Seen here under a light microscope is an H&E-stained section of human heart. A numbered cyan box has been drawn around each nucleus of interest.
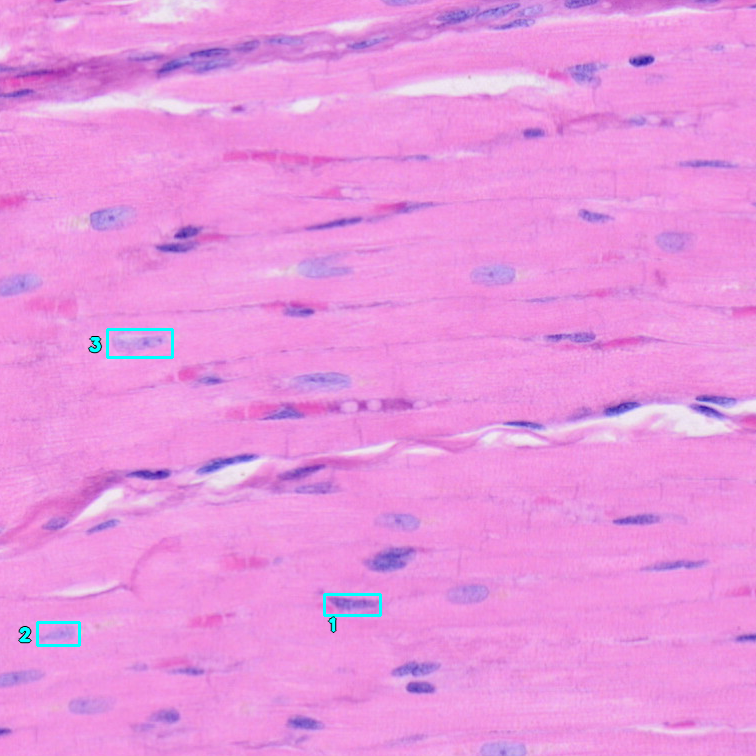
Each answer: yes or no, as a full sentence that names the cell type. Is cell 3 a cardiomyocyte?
Yes, the cell indicated by number 3 is a cardiomyocyte.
